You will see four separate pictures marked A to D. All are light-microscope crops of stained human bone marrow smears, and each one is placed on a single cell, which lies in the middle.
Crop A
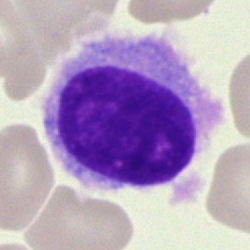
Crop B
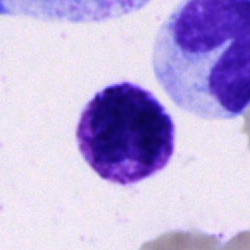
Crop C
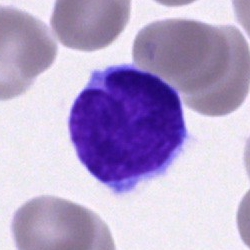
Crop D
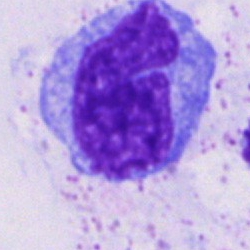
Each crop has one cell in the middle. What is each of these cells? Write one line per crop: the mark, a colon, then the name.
A: hairy cell
B: basophil
C: lymphocyte
D: monocyte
